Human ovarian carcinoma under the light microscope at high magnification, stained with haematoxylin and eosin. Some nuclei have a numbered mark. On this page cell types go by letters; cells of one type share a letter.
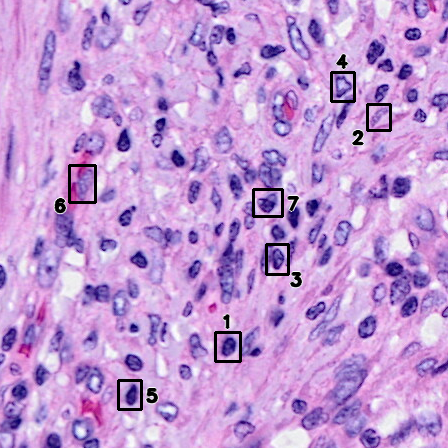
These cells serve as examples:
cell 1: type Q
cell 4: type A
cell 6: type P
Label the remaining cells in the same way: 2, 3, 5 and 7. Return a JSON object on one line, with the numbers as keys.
{"2": "type A", "3": "type Q", "5": "type Q", "7": "type Q"}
